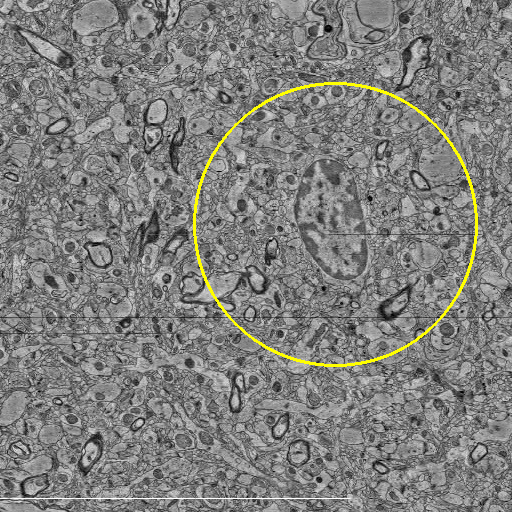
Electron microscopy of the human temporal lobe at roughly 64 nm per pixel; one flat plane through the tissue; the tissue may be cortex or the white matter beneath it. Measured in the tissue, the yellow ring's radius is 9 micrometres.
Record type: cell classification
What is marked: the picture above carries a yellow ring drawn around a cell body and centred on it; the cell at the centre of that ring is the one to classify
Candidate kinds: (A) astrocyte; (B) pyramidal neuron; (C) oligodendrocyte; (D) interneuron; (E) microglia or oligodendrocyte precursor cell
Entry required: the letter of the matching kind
E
